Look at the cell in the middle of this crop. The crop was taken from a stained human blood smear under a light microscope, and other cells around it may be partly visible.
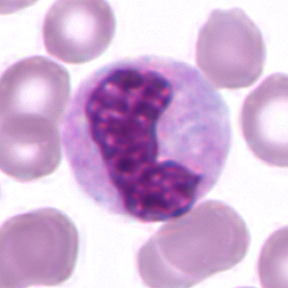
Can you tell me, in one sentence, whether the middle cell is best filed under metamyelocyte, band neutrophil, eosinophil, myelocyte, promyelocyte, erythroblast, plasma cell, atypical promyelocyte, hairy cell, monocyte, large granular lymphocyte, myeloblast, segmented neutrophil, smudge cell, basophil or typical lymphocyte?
The central element of this crop is a cell, namely a band neutrophil.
